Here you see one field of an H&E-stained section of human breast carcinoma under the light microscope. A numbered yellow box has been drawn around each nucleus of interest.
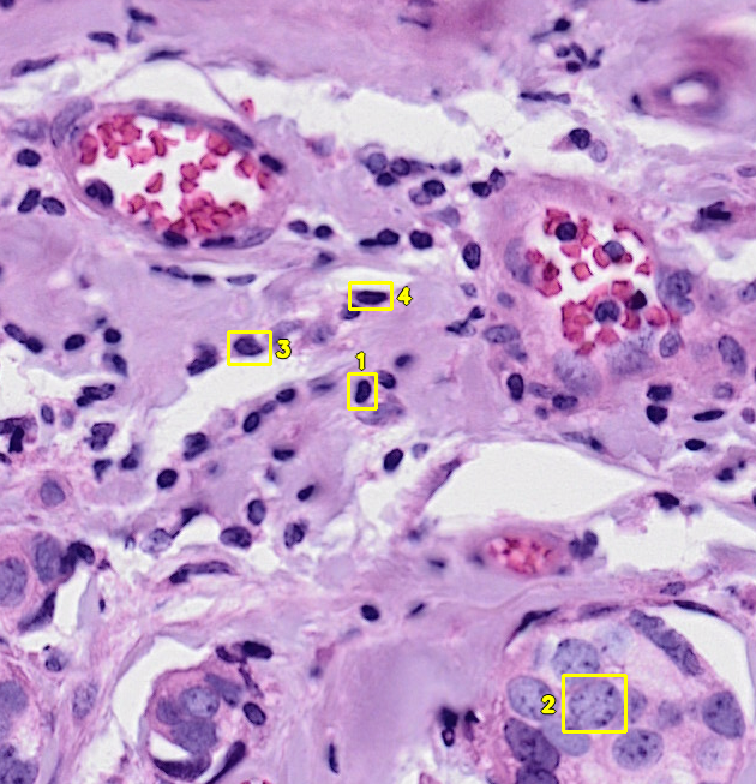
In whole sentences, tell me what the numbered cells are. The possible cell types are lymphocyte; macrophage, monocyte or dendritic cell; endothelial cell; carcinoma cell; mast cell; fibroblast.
Cells 1, 3 and 4 are lymphocytes. Cell 2 is a carcinoma cell.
